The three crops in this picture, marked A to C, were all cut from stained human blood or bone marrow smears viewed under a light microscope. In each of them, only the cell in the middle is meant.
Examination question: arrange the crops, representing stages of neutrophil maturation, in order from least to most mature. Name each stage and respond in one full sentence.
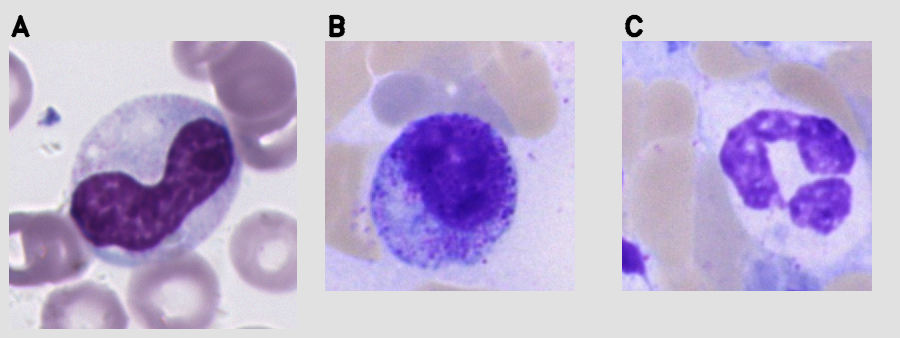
The maturation order, from least to most mature, is crop B (a myelocyte), crop A (a band neutrophil) and crop C (a segmented neutrophil).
